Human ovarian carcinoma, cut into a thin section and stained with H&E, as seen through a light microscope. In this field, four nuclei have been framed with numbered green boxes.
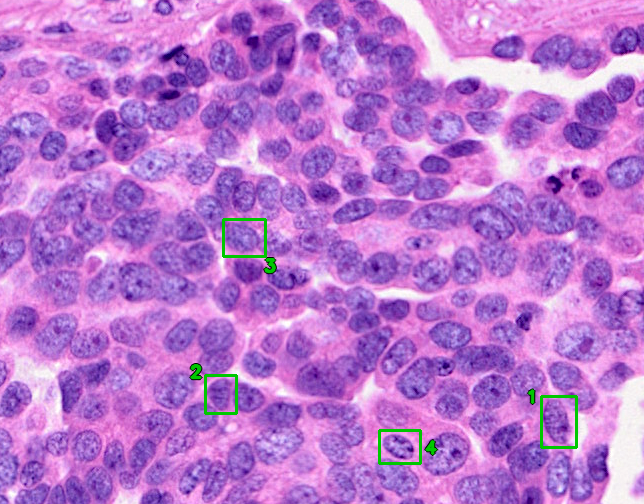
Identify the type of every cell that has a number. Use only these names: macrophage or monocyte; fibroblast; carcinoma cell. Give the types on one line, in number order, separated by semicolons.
carcinoma cell; carcinoma cell; carcinoma cell; macrophage or monocyte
